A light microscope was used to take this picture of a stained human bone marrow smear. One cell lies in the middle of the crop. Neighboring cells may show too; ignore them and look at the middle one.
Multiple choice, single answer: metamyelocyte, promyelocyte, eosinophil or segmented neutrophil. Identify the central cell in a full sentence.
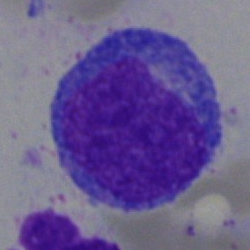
The cell under consideration, at the middle of the crop, is a promyelocyte.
